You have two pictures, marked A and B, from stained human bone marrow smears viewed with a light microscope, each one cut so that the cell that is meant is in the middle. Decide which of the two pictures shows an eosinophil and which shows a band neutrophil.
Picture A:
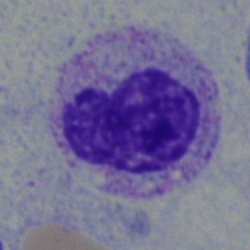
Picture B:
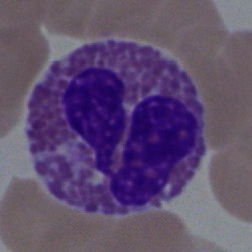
A: band neutrophil
B: eosinophil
